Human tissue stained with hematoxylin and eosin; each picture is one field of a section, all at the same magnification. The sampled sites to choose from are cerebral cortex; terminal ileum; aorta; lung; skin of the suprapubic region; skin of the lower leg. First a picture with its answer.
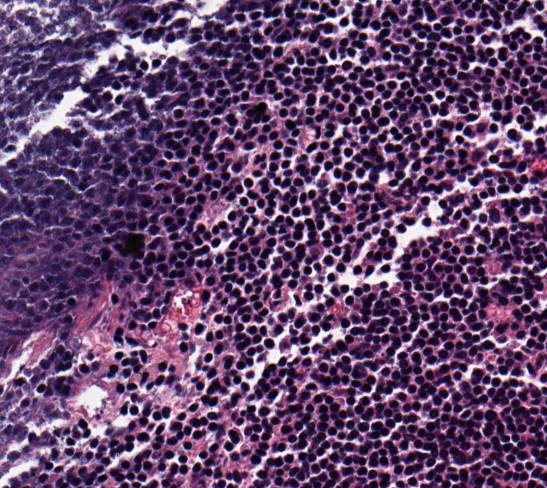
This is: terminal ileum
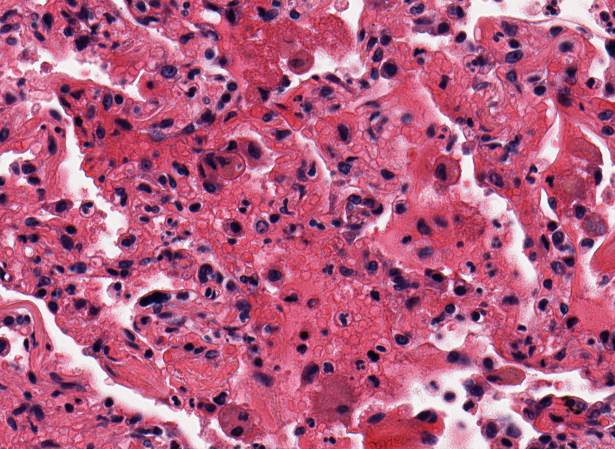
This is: lung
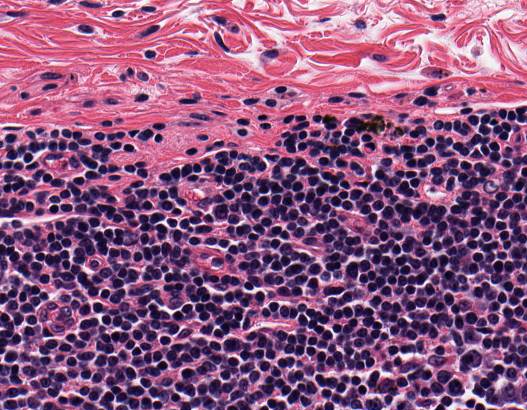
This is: terminal ileum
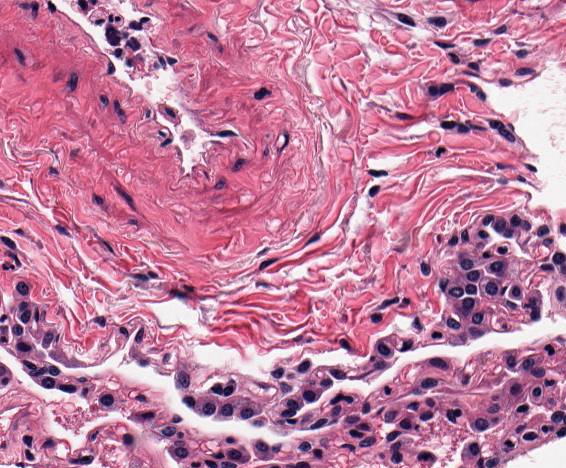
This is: lung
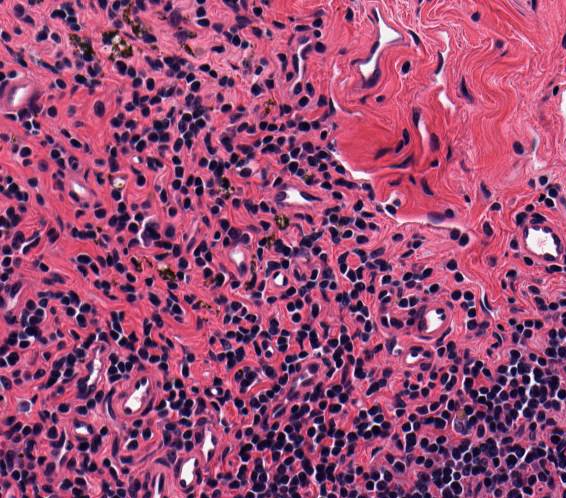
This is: terminal ileum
